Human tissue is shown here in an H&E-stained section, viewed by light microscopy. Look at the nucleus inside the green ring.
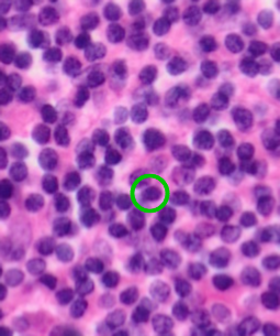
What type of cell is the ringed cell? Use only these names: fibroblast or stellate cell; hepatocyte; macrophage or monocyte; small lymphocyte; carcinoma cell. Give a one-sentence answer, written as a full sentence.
In the tissue at hand, the ringed cell is a small lymphocyte.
